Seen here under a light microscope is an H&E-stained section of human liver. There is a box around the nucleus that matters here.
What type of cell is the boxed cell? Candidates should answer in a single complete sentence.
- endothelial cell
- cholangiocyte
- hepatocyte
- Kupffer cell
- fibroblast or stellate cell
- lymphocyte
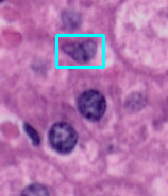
It is a Kupffer cell that the boxed cell represents.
